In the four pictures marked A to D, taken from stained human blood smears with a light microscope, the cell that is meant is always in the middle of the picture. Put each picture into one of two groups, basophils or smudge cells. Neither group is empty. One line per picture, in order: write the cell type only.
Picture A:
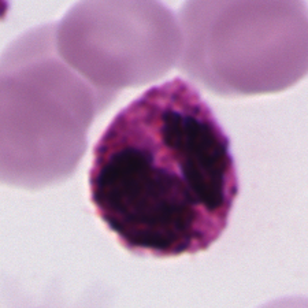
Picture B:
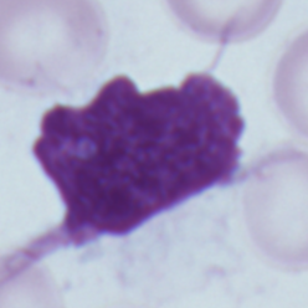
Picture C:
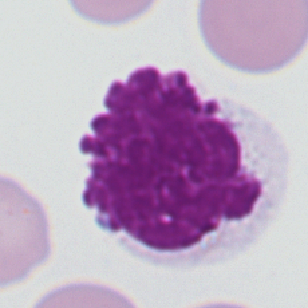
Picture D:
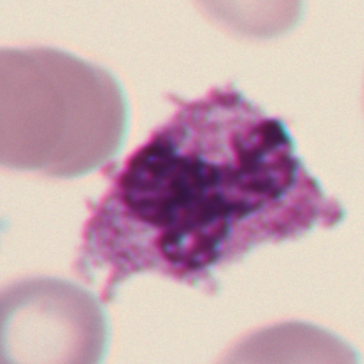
basophil
smudge cell
smudge cell
basophil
